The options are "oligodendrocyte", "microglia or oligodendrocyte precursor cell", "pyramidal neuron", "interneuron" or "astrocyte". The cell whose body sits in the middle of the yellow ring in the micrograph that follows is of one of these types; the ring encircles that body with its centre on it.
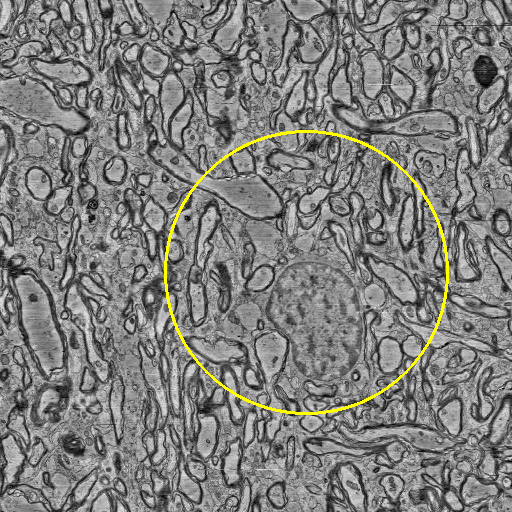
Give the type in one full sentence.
Going by the micrograph, the cell centred in the yellow ring is an oligodendrocyte.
